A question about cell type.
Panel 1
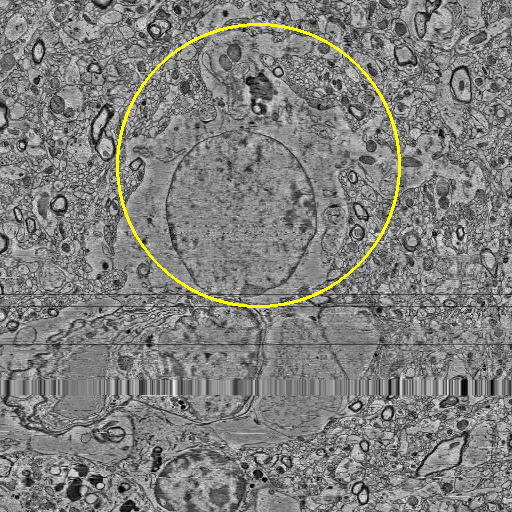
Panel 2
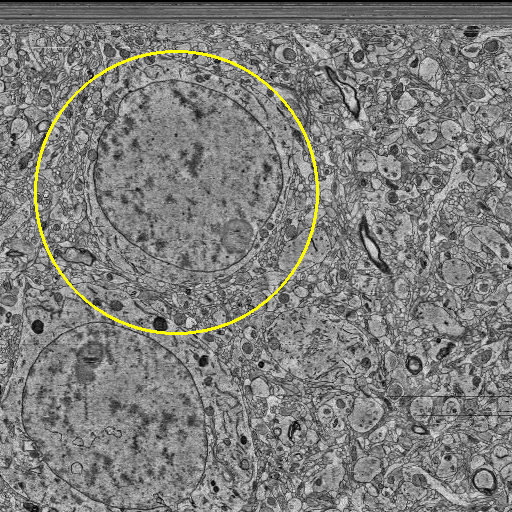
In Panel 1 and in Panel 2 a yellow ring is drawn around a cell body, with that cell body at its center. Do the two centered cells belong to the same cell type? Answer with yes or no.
no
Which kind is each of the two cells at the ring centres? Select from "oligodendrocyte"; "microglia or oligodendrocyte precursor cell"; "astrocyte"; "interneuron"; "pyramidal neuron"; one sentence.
The cell at the centre of the ring is an astrocyte in the first picture and a pyramidal neuron in the second.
